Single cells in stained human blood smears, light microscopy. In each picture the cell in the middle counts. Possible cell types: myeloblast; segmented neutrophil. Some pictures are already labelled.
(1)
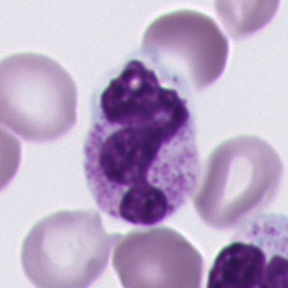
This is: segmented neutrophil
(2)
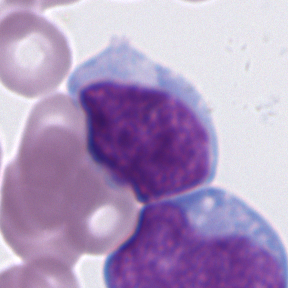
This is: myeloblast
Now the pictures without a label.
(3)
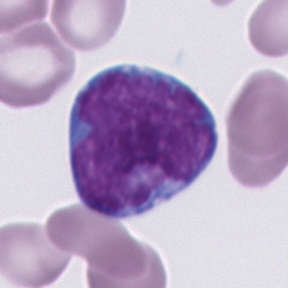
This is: myeloblast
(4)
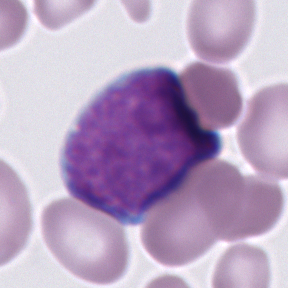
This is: myeloblast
